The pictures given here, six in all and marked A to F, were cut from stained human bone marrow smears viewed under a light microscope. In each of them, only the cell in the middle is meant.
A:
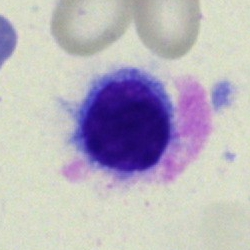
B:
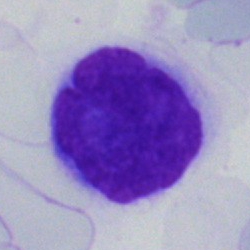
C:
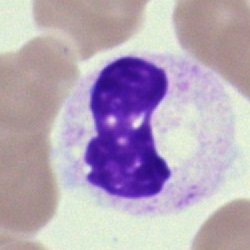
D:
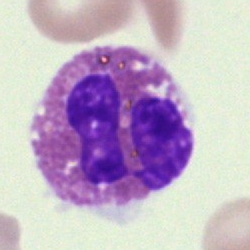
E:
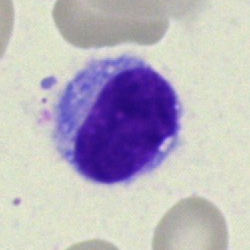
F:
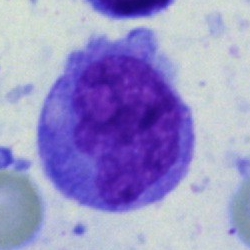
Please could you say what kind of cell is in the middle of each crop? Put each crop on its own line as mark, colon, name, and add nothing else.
A: hairy cell
B: blast
C: band neutrophil
D: eosinophil
E: hairy cell
F: monocyte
